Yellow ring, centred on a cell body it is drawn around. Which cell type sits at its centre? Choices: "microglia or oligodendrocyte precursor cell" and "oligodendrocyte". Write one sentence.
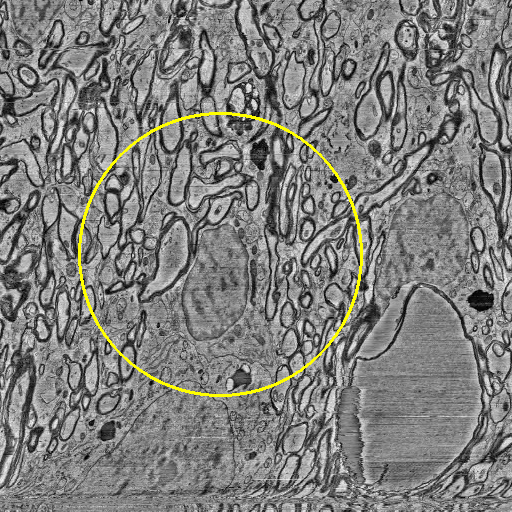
At the centre of the ring sits an oligodendrocyte.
